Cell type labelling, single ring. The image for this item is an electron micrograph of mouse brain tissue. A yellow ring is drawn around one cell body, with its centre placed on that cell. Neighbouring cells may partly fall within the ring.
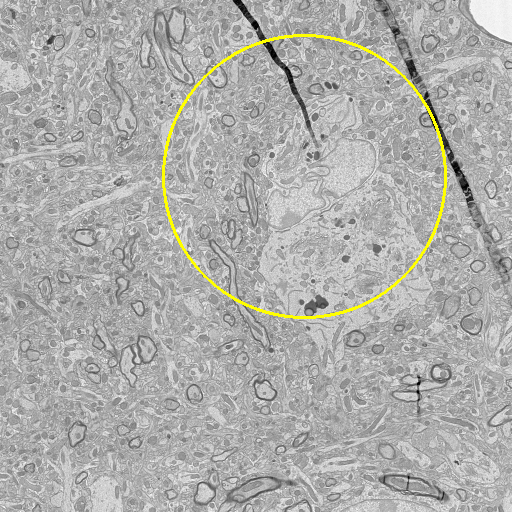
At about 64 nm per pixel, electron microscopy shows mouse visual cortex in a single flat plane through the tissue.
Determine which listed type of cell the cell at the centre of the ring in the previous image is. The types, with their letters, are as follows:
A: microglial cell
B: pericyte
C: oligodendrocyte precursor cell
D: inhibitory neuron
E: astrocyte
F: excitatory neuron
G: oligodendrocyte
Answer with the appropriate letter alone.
C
